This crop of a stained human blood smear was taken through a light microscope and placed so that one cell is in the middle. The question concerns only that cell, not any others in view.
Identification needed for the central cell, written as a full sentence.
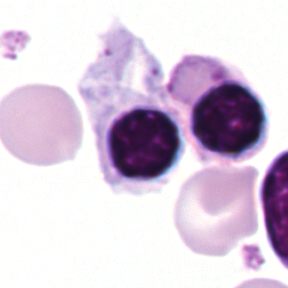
Classification of the middle cell gives a normoblast.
